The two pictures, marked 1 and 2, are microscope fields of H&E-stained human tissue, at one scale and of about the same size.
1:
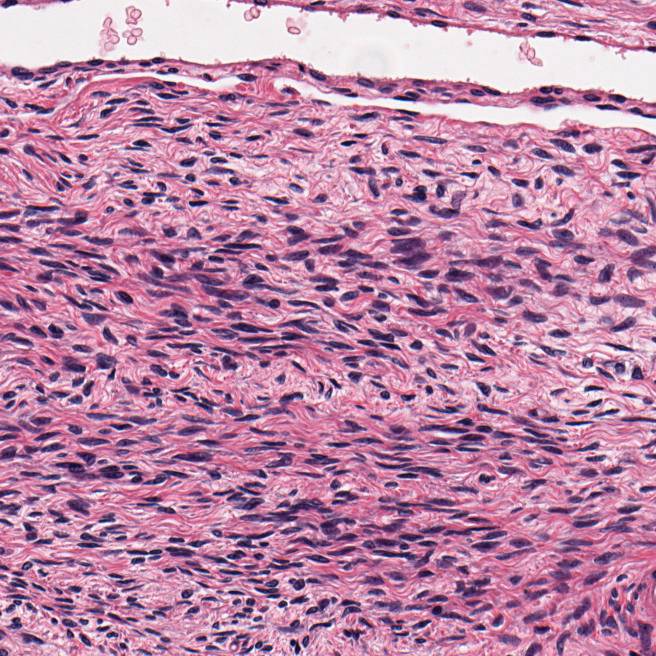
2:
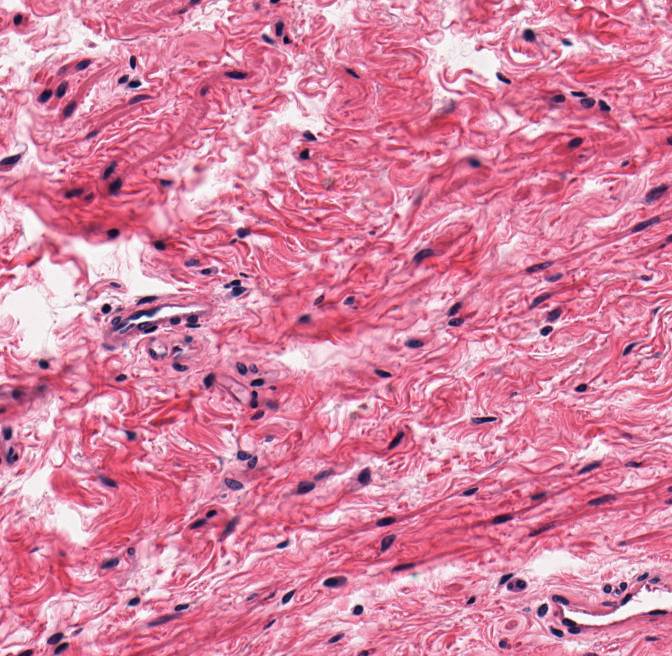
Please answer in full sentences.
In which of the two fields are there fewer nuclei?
The smaller number of nuclei is in field 2.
